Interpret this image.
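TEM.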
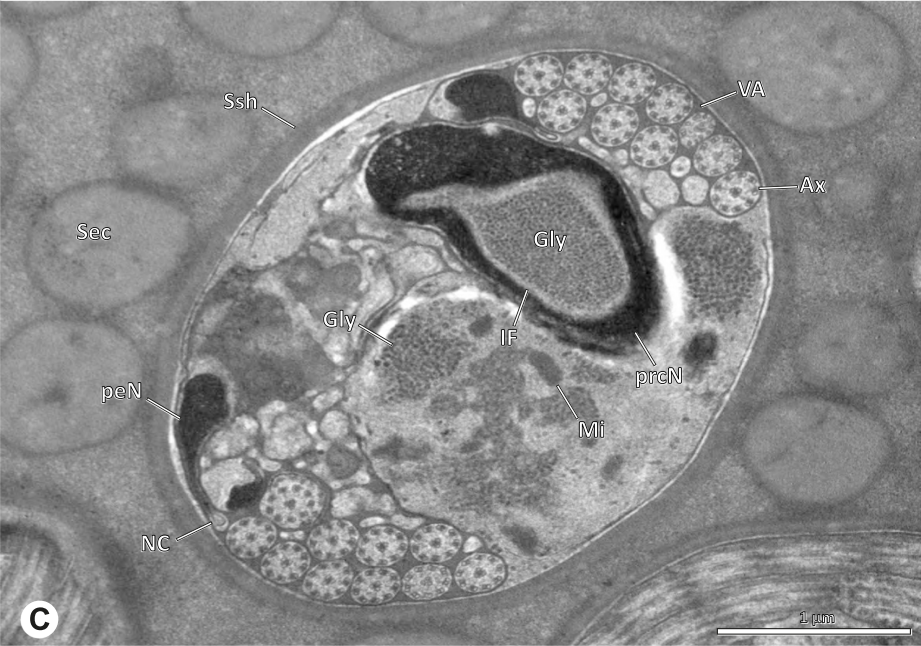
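This is a cross-section of an encapsulated, coiled sperm cell enclosed by a thin secretion sheath and surrounded by round, moderately dense secretion droplets. Inside, a curved, C-shaped, very electron-dense nuclear profile wraps around a central core of fine granular glycogen, and a second, smaller dense nuclear profile lies at the periphery of the cell. Next to the axonemes is a region of small clear vesicles, while the central cytoplasm contains granular glycogen and mitochondria.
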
